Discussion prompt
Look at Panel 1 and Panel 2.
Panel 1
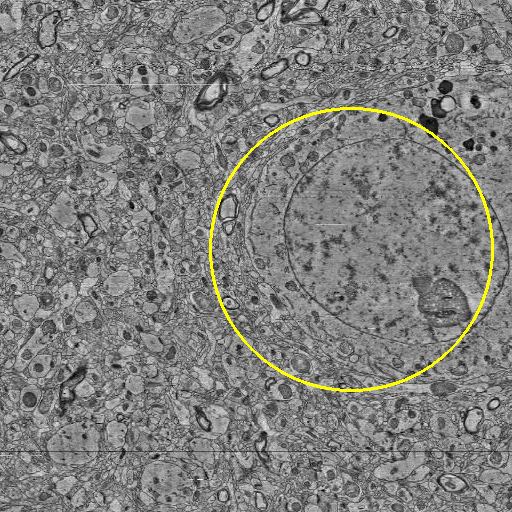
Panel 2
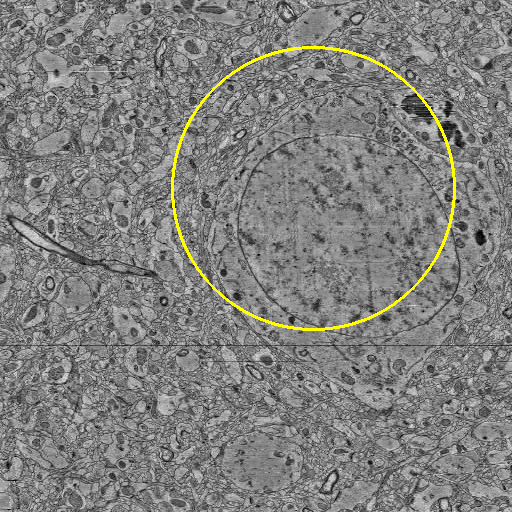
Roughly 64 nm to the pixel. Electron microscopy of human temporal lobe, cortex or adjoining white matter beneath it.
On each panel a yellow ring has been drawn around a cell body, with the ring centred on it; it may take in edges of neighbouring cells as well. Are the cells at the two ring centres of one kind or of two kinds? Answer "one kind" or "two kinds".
one kind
